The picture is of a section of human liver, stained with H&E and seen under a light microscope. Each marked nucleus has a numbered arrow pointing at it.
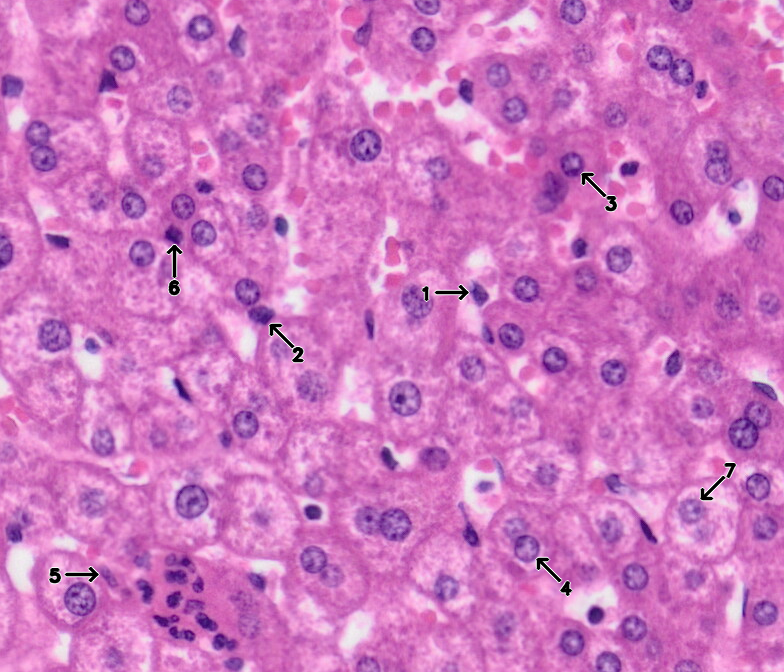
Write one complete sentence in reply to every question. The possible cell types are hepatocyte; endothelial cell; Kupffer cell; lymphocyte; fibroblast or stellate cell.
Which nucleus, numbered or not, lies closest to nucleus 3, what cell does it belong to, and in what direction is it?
An endothelial cell lies closest, below and to the left of nucleus 3.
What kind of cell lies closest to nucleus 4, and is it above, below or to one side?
It is a hepatocyte, whose nucleus lies above and to the left of nucleus 4.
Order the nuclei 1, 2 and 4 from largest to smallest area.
The nuclei rank 4, 2, 1, from largest to smallest.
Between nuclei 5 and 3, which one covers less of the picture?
Nucleus 5 covers less area, with nucleus 3 about 2 times as large.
